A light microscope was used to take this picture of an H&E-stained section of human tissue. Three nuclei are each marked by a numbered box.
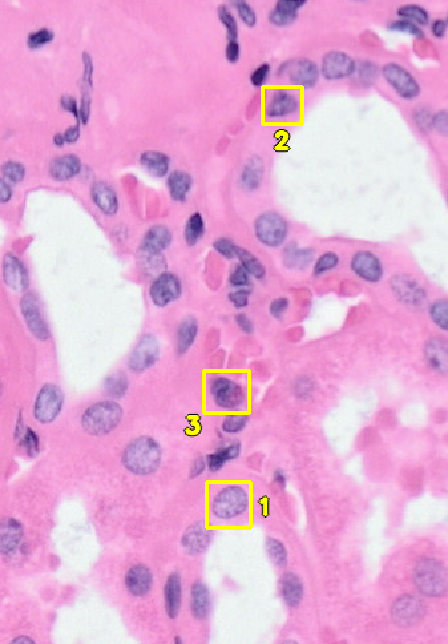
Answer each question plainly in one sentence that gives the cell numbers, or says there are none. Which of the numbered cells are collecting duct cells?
Only the cell carrying number 2 is a collecting duct cell.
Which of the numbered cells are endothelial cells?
Cell 3 stands alone among the numbered cells as an endothelial cell.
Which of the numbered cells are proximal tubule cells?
The count of proximal tubule cells among the numbered cells is zero.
